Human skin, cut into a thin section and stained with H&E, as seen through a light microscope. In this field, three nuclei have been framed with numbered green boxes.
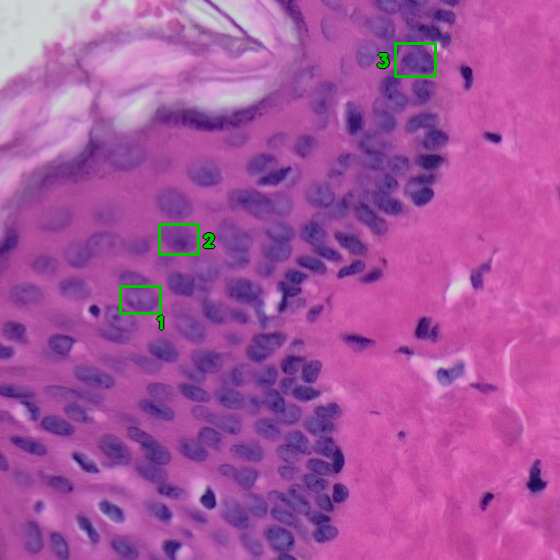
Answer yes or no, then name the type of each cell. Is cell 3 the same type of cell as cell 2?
No, cell 3 is a basal keratinocyte and cell 2 is a suprabasal keratinocyte.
